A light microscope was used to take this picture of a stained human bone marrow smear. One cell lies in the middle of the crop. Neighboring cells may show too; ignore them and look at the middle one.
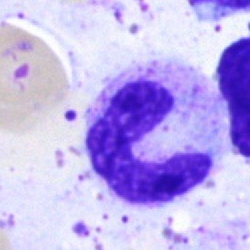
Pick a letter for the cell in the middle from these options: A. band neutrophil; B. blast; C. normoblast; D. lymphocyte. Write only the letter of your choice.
A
